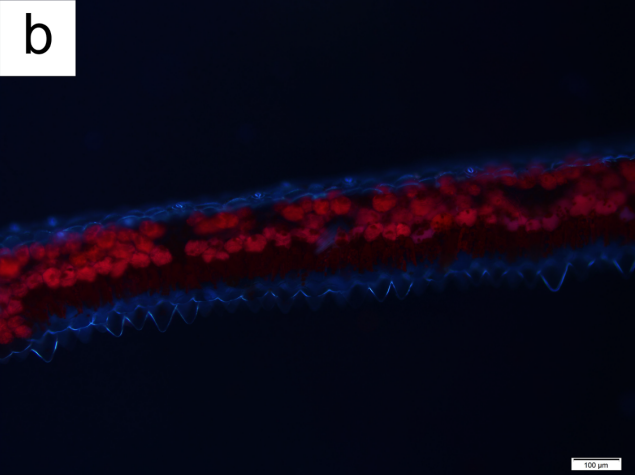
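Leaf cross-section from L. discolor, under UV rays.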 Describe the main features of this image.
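The red cells are densely clustered toward the upper side, with a fainter, finely striated red layer beneath them. A fainter blue line outlines the upper surface of the section. The surroundings of the section are dark.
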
